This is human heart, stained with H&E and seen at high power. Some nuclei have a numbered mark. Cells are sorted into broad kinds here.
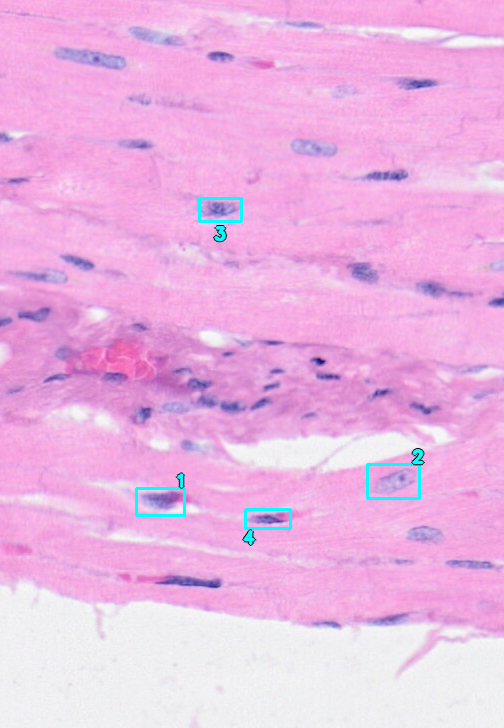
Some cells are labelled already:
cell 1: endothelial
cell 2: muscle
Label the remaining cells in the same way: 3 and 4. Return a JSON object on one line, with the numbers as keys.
{"3": "endothelial", "4": "endothelial"}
